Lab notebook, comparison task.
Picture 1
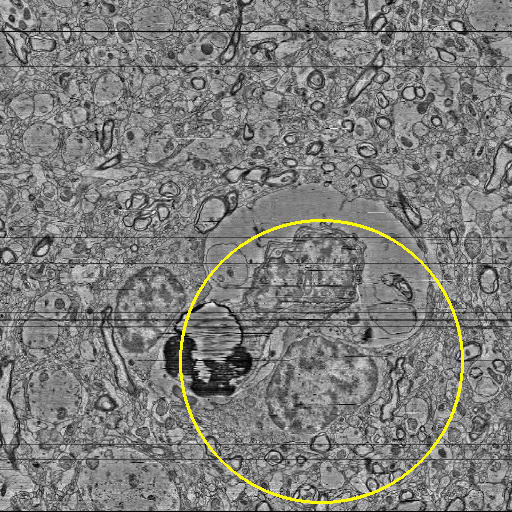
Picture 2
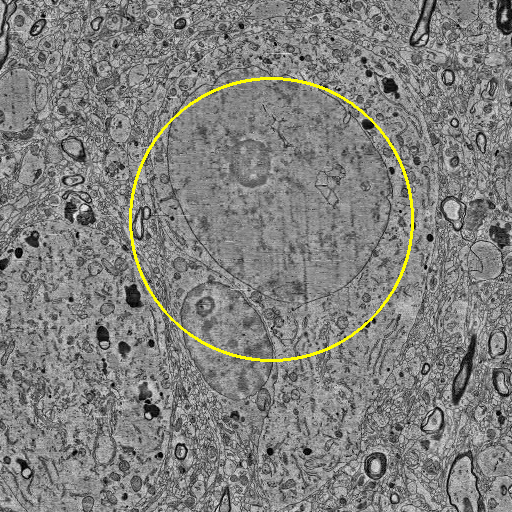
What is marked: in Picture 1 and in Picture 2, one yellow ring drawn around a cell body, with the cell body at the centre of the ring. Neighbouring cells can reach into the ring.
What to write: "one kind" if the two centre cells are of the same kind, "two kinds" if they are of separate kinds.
two kinds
